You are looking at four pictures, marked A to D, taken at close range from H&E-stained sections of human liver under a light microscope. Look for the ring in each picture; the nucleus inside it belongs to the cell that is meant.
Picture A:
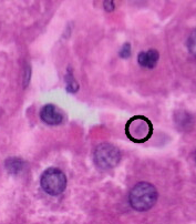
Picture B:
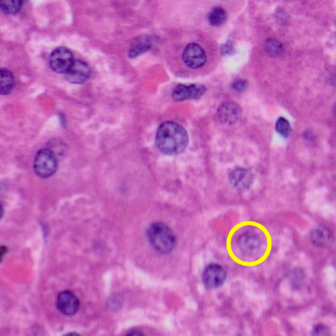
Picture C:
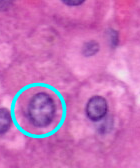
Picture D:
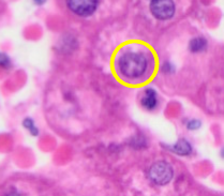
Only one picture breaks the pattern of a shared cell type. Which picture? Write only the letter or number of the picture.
A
